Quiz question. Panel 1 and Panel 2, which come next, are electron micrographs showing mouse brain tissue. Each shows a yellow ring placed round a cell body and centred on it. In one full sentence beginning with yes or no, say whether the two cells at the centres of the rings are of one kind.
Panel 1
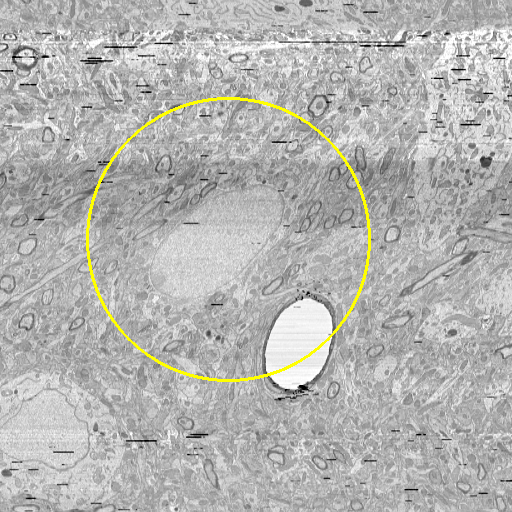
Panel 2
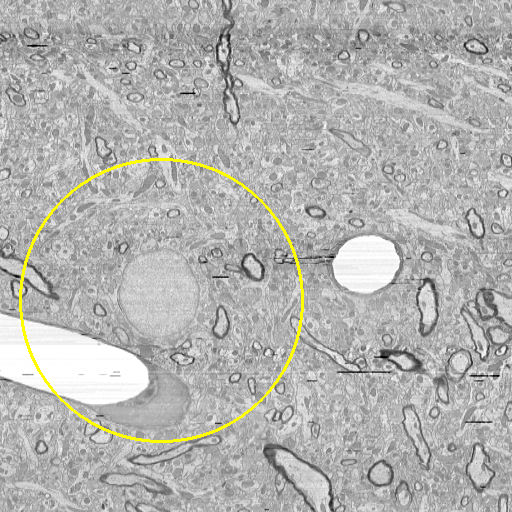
Yes, Panel 1 and Panel 2 show one kind of cell at the centre of the ring.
